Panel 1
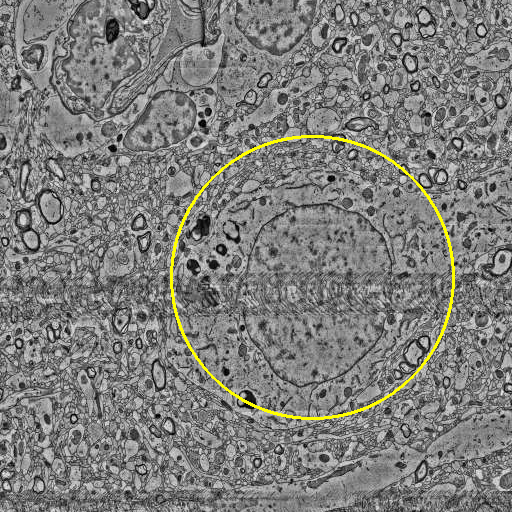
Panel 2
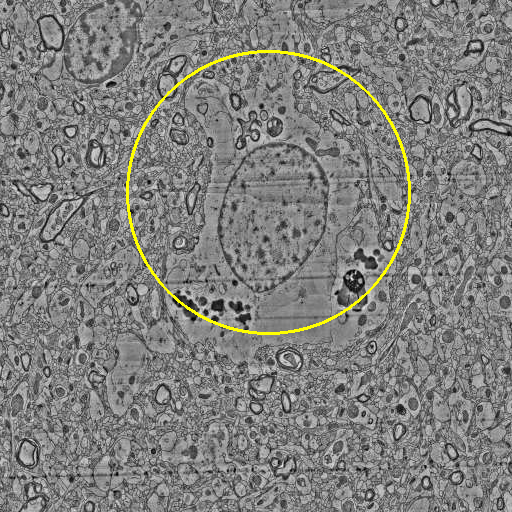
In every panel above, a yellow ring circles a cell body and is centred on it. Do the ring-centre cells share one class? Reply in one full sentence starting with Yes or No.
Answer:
No, the two cells at the ring centres in the panels belong to two classes.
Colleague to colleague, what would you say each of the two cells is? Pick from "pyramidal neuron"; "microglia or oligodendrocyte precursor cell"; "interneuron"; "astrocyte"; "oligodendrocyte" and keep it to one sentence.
The cell in the first picture is a pyramidal neuron; the second picture's cell is an astrocyte.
